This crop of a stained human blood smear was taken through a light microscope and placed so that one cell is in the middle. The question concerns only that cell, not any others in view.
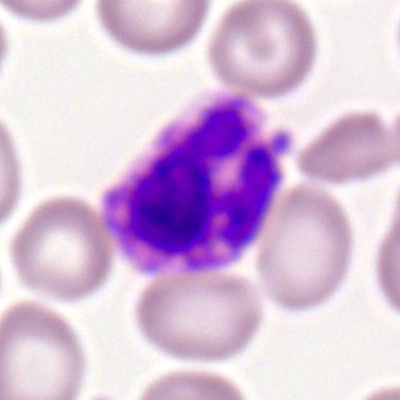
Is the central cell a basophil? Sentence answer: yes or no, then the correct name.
Yes, the cell in the middle is rightly called a basophil.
